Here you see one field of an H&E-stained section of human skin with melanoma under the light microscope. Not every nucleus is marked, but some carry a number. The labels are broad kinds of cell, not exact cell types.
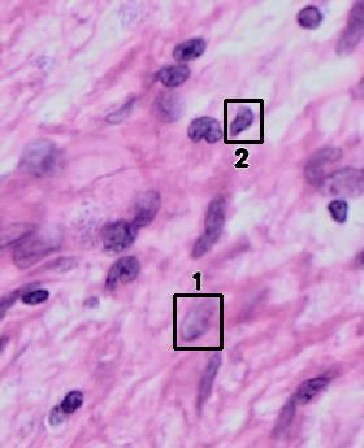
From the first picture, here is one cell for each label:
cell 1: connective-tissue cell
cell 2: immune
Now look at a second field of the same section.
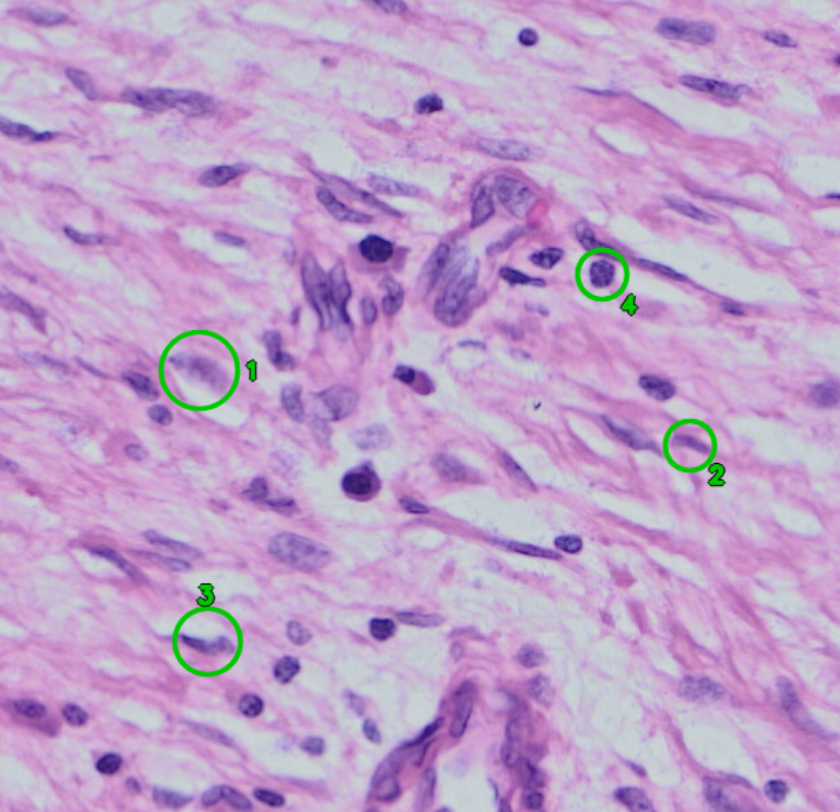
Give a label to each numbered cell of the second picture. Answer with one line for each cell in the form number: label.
1: connective-tissue cell
2: connective-tissue cell
3: connective-tissue cell
4: immune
